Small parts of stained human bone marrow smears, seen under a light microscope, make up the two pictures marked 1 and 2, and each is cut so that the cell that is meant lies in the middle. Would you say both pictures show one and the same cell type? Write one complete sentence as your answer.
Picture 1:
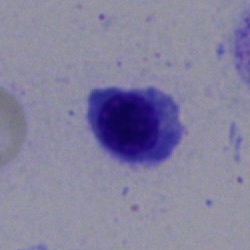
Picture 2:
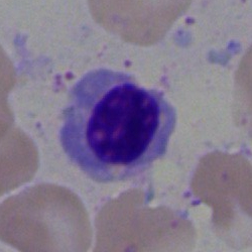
Yes; the cells in both pictures are erythroblasts.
